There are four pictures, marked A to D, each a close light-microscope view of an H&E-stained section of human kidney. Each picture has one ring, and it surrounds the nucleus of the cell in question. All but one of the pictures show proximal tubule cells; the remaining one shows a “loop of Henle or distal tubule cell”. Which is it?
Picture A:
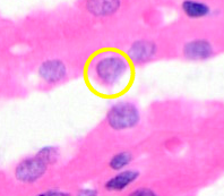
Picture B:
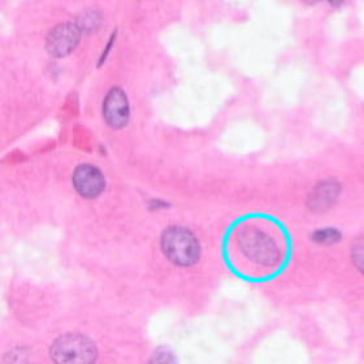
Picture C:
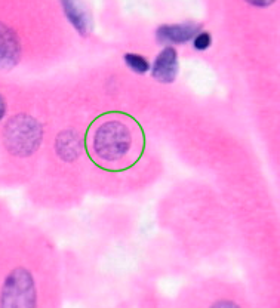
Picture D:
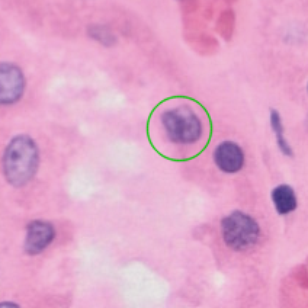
A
